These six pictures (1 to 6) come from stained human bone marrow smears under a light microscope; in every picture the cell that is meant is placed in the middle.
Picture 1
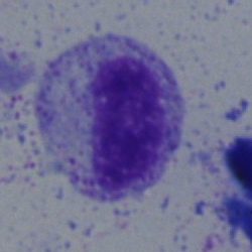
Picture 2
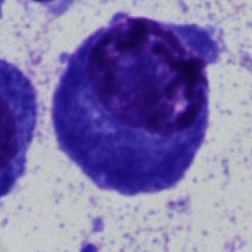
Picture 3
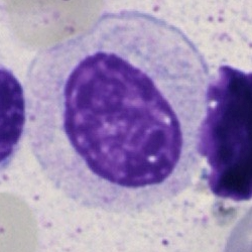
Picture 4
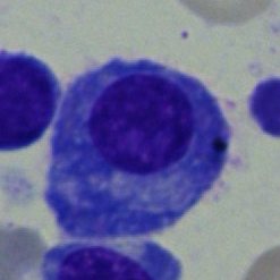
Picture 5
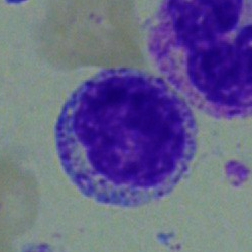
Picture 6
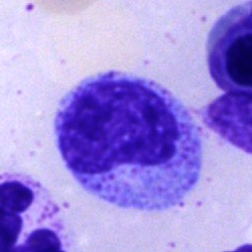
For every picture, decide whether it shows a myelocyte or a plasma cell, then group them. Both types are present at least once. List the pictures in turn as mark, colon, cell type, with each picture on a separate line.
1: myelocyte
2: plasma cell
3: myelocyte
4: plasma cell
5: myelocyte
6: myelocyte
